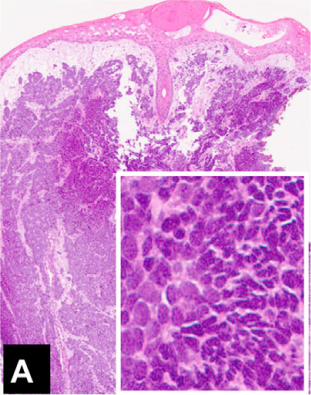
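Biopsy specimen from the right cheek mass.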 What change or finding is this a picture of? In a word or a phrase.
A: sheet-like growth of small tumor cells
